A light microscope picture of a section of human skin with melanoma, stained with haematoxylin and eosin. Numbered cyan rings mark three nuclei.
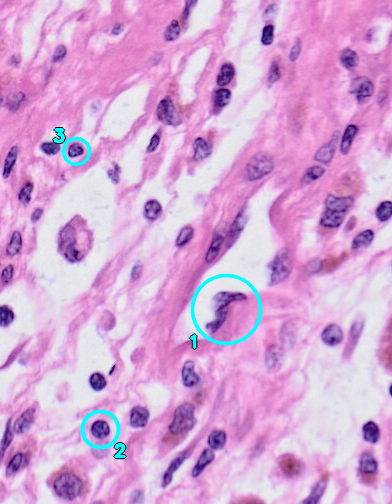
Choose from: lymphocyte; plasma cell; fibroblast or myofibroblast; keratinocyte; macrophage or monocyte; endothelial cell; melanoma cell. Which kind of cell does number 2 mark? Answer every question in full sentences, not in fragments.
As for number 2, that cell is a lymphocyte.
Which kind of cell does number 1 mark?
In the marked set, the cell given number 1 is an endothelial cell.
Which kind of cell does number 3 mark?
The cell numbered 3 represents a lymphocyte.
